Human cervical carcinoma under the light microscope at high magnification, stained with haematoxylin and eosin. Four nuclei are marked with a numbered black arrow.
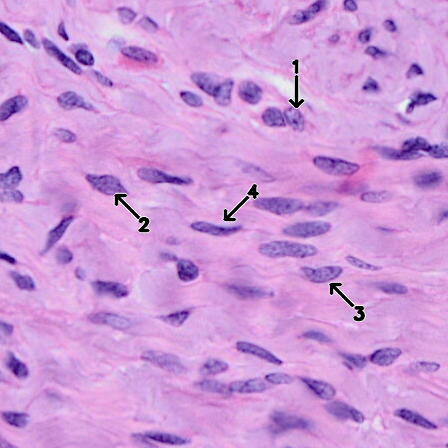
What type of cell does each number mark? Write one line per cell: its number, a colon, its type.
1: endothelial cell
2: fibroblast
3: fibroblast
4: fibroblast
